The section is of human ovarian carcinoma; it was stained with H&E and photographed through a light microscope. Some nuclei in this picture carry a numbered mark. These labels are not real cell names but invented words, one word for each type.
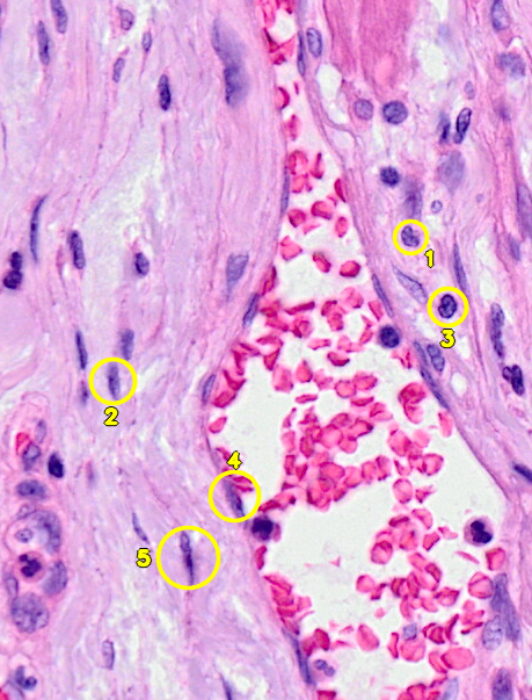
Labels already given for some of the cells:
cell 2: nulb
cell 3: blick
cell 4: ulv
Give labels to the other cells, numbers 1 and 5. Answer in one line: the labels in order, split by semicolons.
blick; nulb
